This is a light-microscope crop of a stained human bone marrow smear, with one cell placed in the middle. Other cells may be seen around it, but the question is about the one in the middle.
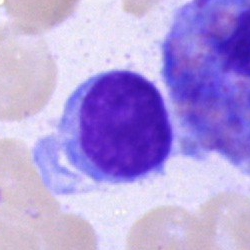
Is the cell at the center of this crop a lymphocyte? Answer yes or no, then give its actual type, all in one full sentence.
Yes, the cell that lies centrally is a lymphocyte.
